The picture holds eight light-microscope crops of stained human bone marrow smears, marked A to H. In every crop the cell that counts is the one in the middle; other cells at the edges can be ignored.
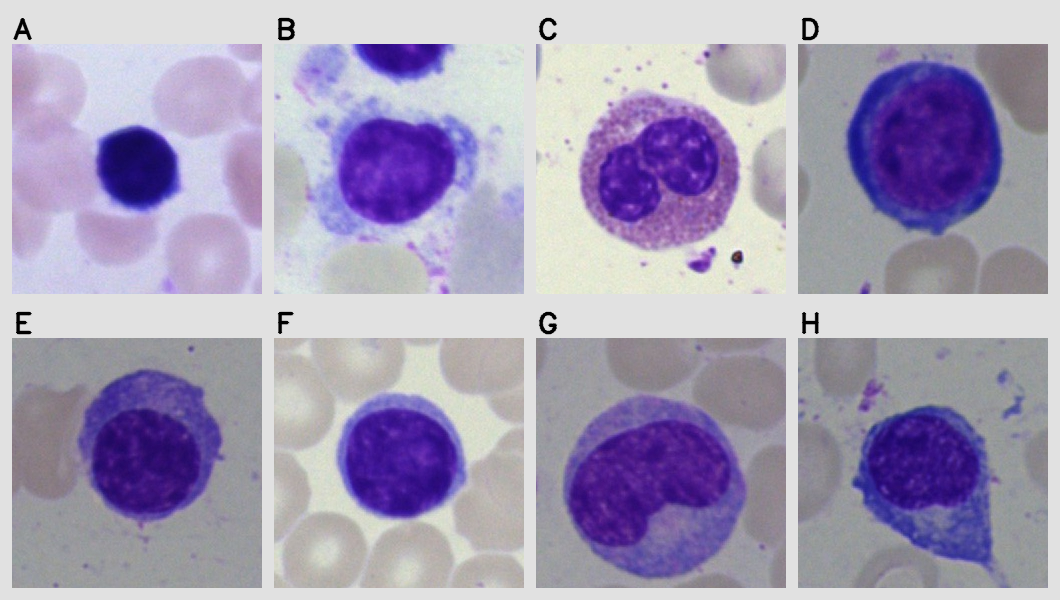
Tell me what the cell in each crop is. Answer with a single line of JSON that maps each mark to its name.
{"A": "lymphocyte", "B": "hairy cell", "C": "eosinophil", "D": "proerythroblast", "E": "plasma cell", "F": "lymphocyte", "G": "monocyte", "H": "plasma cell"}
